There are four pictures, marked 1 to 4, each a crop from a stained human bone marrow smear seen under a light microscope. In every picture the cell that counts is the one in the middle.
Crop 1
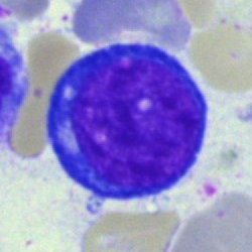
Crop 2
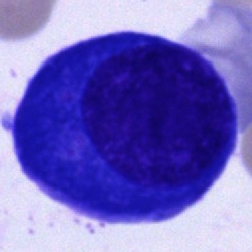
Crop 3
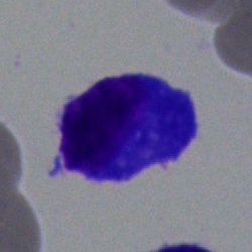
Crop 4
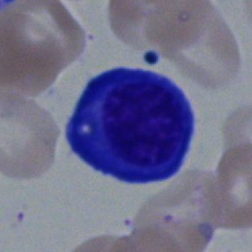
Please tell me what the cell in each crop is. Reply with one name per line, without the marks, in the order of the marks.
proerythroblast
plasma cell
plasma cell
plasma cell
